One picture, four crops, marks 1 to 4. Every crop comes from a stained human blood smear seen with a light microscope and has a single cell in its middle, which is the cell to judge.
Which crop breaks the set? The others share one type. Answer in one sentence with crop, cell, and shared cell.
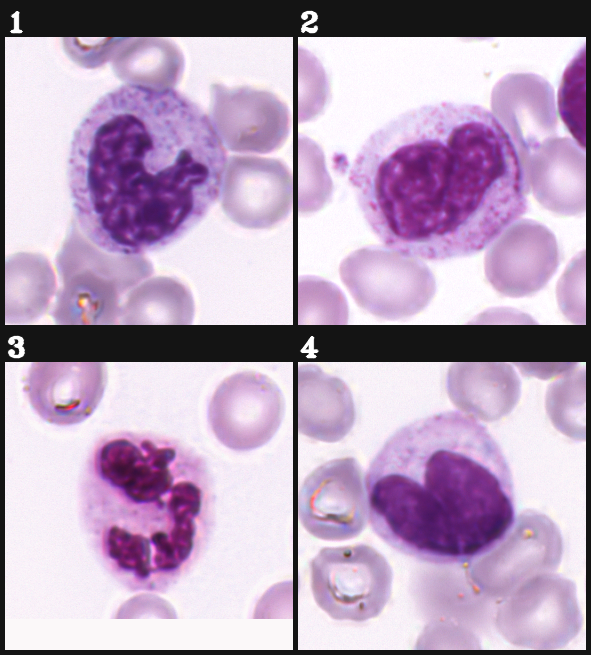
Crop 3 differs: it is a segmented neutrophil, and all the other crops show band neutrophils.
